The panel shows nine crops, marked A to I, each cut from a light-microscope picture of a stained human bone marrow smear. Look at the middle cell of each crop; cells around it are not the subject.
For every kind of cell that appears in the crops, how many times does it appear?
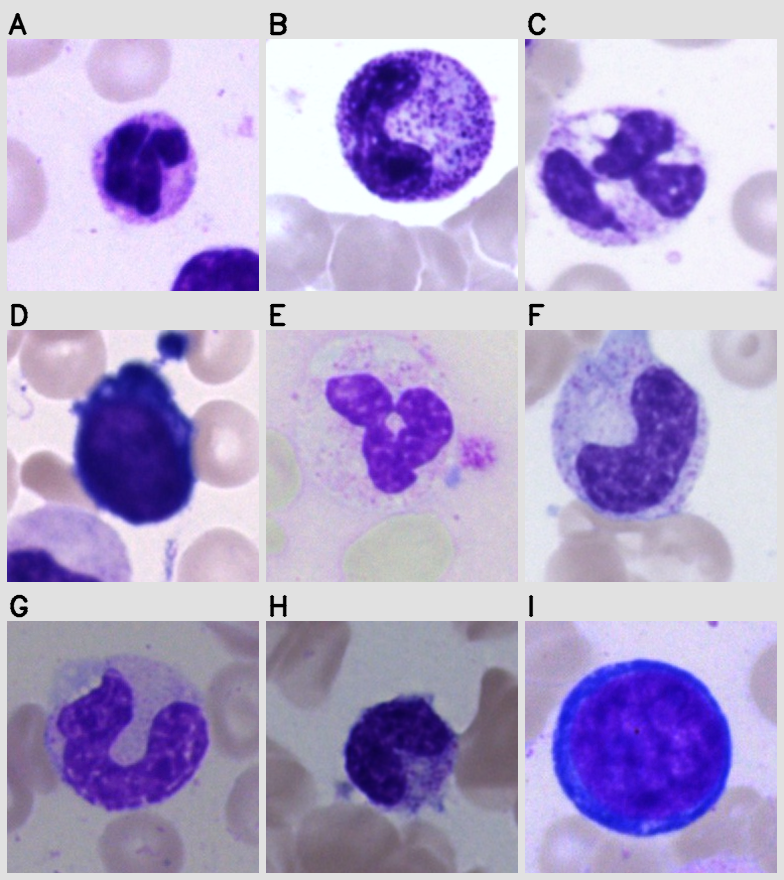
band neutrophil: 4
segmented neutrophil: 3
proerythroblast: 2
